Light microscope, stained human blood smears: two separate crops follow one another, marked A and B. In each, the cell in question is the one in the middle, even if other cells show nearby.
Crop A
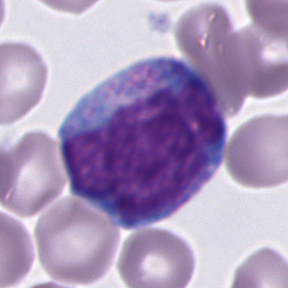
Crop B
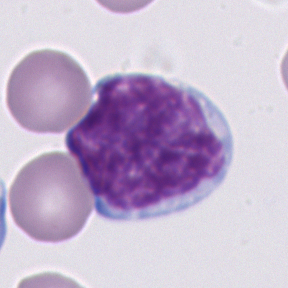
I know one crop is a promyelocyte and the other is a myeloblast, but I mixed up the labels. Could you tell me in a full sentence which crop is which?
In crop B the central cell is a myeloblast, and in crop A it is a promyelocyte.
